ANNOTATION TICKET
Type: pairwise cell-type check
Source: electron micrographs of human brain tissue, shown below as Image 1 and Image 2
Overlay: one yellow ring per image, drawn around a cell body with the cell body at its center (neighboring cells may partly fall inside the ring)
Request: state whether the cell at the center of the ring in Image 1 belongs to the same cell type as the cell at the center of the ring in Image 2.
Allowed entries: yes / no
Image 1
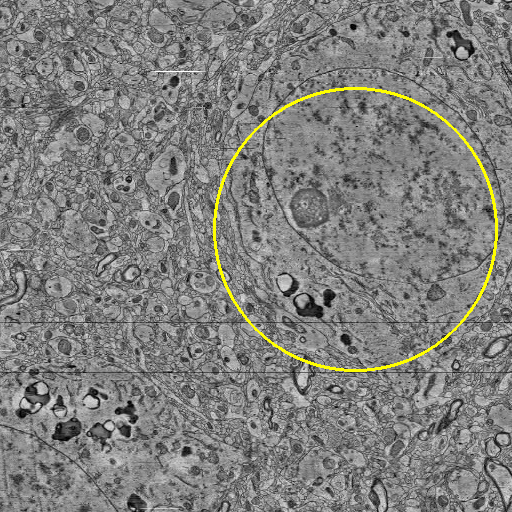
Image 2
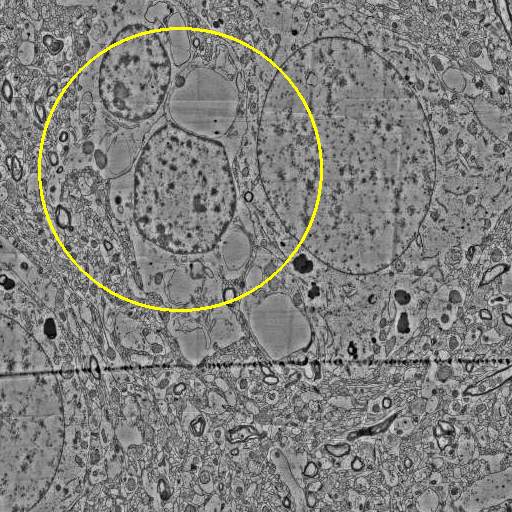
no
